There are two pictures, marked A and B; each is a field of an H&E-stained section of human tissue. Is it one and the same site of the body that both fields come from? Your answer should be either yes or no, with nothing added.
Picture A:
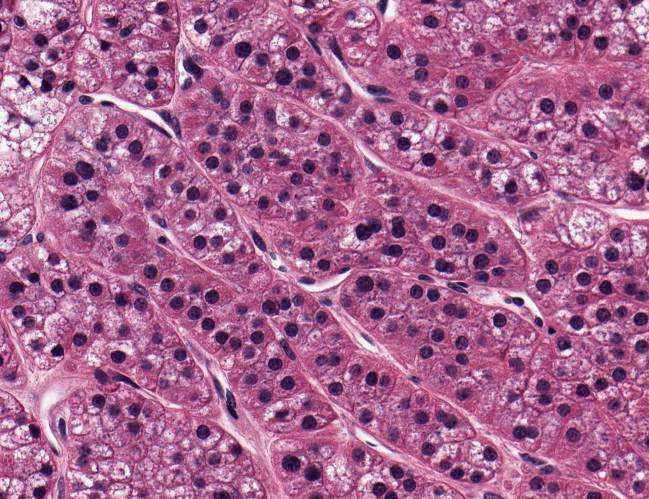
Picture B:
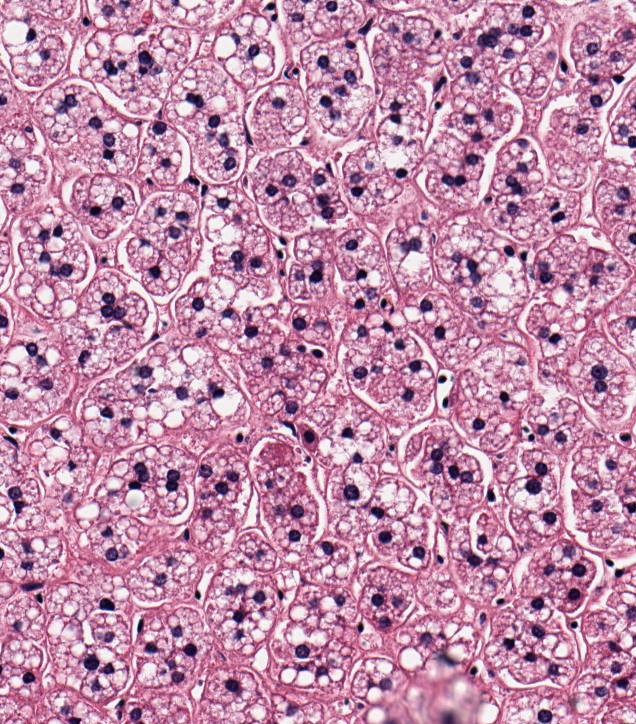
yes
